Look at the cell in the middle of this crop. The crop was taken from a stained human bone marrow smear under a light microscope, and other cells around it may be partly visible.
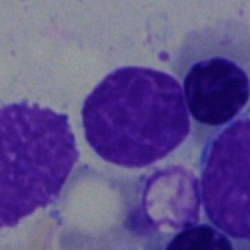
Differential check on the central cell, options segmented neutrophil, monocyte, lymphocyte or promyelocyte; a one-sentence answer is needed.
Among the cells in view, the one in the middle is a lymphocyte.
